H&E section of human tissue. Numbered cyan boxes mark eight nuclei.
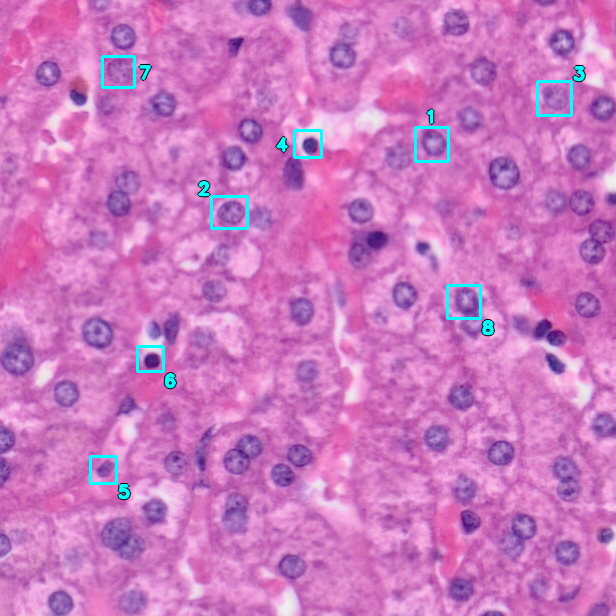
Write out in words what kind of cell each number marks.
Cells 1, 2, 3, 7 and 8 are hepatocytes. Cells 4, 5 and 6 are lymphocytes.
